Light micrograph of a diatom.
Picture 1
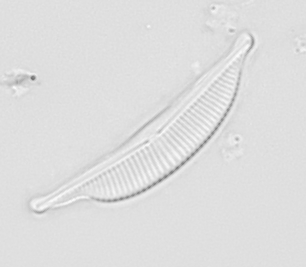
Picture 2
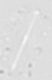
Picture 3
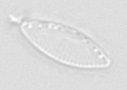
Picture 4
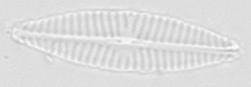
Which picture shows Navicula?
Picture 4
